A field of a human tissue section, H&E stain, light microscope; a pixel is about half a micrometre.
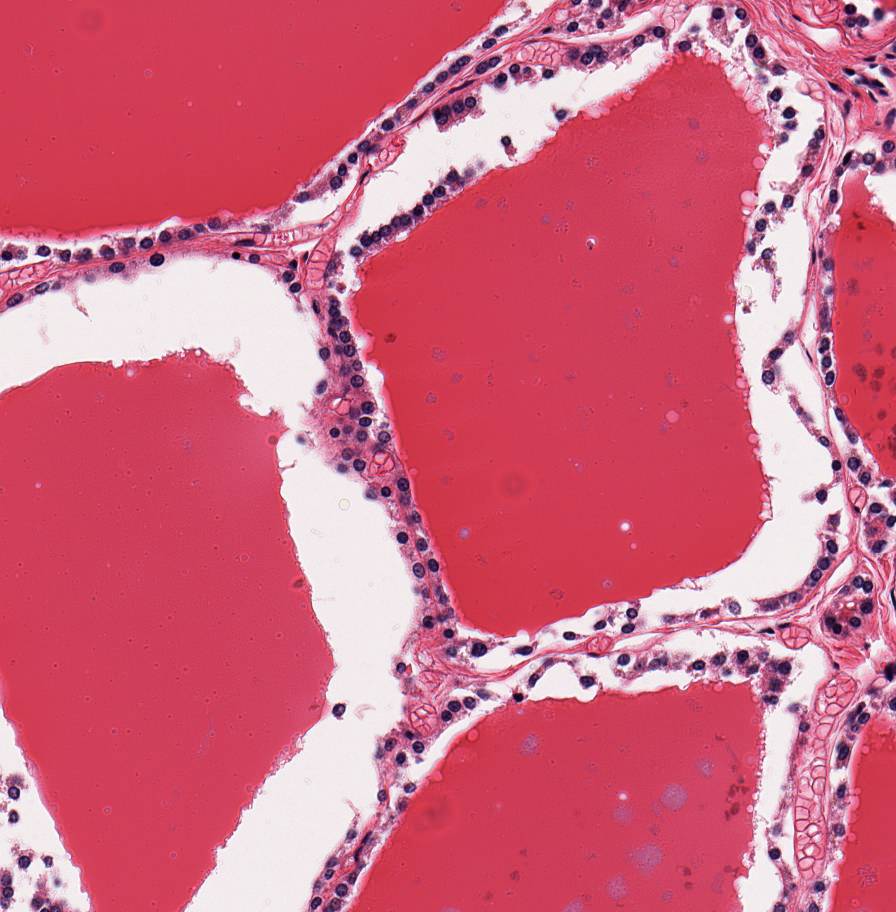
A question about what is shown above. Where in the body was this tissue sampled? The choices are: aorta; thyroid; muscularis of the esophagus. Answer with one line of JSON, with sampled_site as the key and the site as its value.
{"sampled_site": "thyroid"}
